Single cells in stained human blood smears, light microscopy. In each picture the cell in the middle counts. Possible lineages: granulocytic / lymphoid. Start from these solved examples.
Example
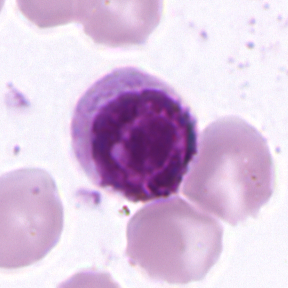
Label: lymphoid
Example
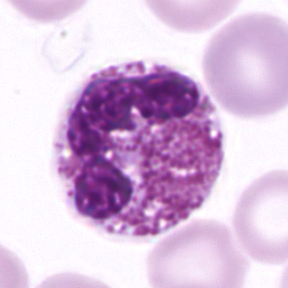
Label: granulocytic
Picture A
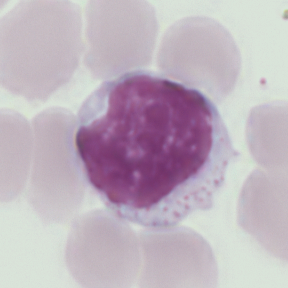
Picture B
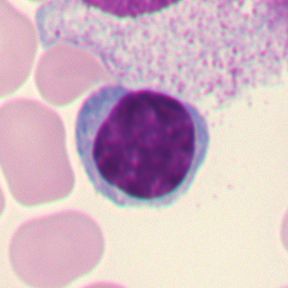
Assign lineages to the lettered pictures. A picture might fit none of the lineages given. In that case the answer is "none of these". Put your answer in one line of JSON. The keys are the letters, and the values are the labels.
{"A": "lymphoid", "B": "lymphoid"}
